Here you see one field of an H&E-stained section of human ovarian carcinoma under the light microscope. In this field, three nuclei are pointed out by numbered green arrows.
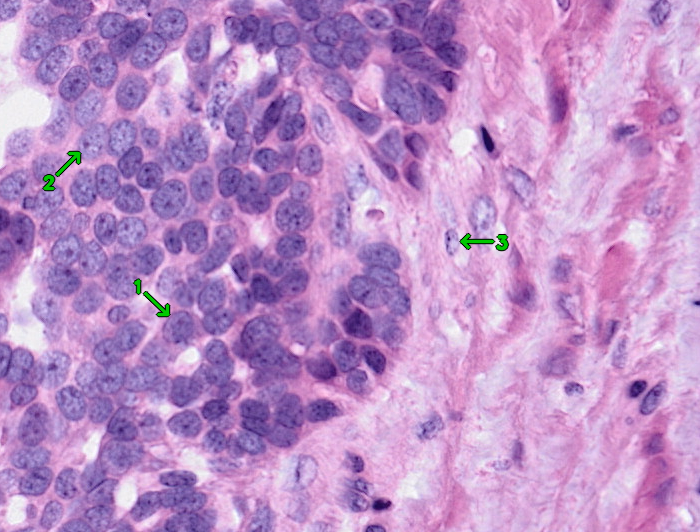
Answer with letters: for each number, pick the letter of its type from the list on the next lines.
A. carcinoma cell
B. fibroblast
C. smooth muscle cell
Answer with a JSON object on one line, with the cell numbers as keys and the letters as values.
{"1": "A", "2": "A", "3": "B"}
